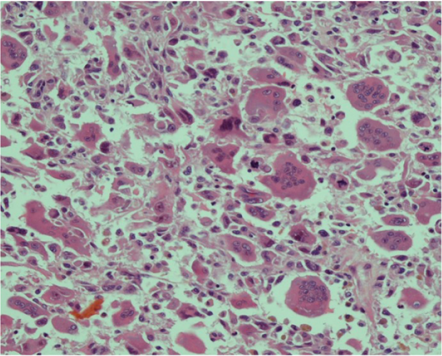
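This is a loosely cohesive tumor of pleomorphic mononuclear cells with scattered multinucleated giant cells. The giant cells are large, with plentiful pink cytoplasm and several to many small uniform nuclei grouped in their centres. The surrounding mononuclear cells are spindled, oval or irregular, with nuclei of varying size and staining, some dark and enlarged. The cells lie in a loose, pale background with clear spaces between them, without glands or orderly arrangement. A small red focus of blood is present near the lower left.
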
